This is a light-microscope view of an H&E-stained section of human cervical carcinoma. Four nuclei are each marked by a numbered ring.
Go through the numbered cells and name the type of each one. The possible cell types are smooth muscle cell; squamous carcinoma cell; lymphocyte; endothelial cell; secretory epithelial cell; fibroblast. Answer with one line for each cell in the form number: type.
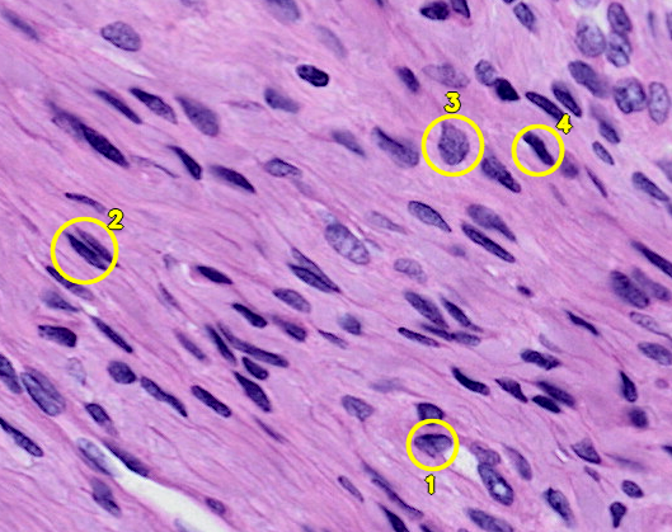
1: endothelial cell
2: fibroblast
3: fibroblast
4: fibroblast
